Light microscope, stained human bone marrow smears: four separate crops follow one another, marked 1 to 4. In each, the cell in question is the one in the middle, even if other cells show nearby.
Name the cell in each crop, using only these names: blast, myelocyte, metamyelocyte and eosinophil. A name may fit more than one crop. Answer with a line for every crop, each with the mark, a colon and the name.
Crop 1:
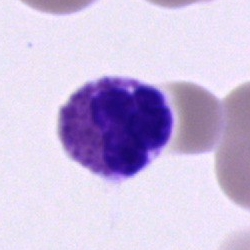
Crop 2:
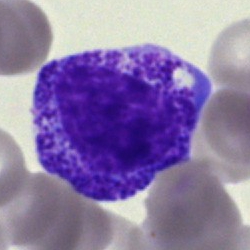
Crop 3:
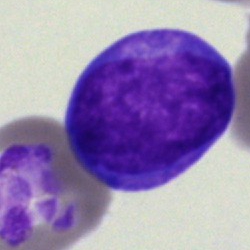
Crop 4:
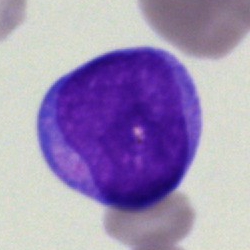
1: eosinophil
2: myelocyte
3: blast
4: blast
